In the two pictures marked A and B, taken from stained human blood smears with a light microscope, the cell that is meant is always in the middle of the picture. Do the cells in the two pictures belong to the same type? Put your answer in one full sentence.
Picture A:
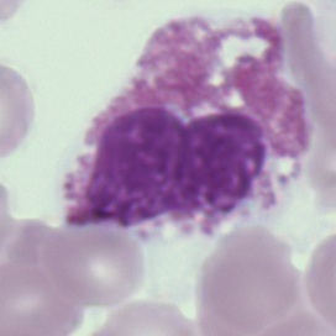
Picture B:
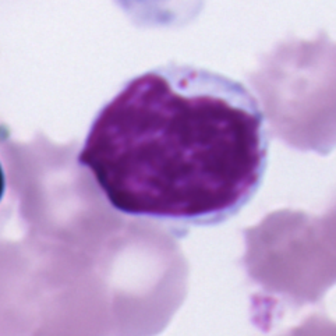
No, they differ: the cell is an eosinophil in picture A and a typical lymphocyte in picture B.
